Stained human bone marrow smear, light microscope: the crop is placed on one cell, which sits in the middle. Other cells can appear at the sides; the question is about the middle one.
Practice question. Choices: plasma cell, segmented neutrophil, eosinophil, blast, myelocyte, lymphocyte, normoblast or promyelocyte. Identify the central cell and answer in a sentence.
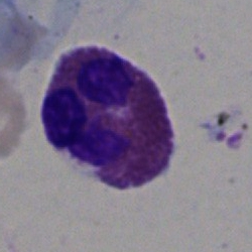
As for the central cell, it is an eosinophil.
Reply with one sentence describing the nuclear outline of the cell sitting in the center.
Its nucleus is lobed, with at least two separate segments.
